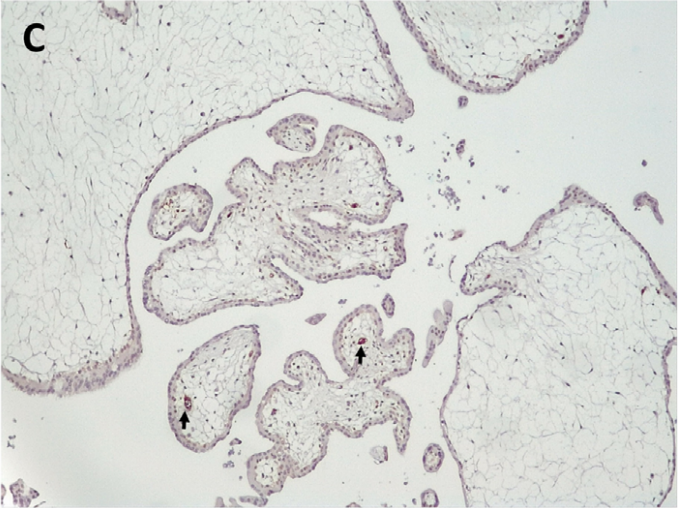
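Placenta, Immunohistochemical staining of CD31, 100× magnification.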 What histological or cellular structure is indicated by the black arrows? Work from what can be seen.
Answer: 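The two arrows point to small round brown-rimmed lumens inside small villi. Each lies within the villous stroma beneath the surface cell layer.
Hence: vessels.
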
